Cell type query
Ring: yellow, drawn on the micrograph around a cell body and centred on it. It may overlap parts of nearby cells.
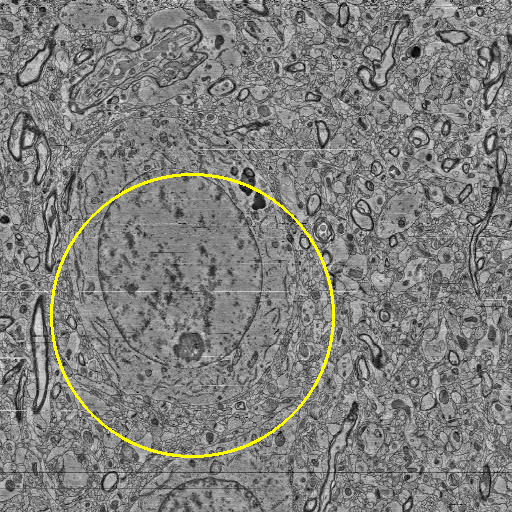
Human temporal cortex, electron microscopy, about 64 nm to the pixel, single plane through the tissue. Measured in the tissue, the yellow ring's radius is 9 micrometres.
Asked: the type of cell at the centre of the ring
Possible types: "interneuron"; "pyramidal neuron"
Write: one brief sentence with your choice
The ring marks a pyramidal neuron.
